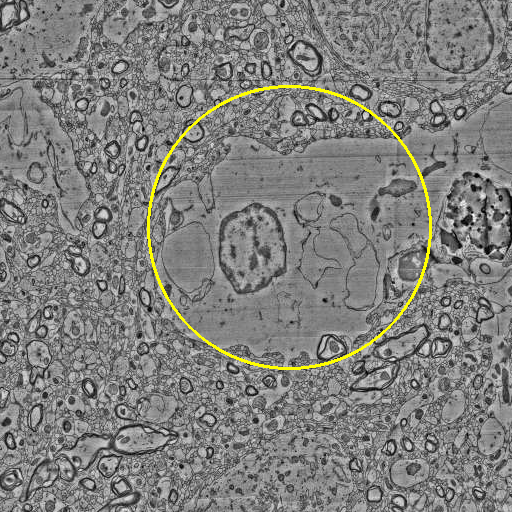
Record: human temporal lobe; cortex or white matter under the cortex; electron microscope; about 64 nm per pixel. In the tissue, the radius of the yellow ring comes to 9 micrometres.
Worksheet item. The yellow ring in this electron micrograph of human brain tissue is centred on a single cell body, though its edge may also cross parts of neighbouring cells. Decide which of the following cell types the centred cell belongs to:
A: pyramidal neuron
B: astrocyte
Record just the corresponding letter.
B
